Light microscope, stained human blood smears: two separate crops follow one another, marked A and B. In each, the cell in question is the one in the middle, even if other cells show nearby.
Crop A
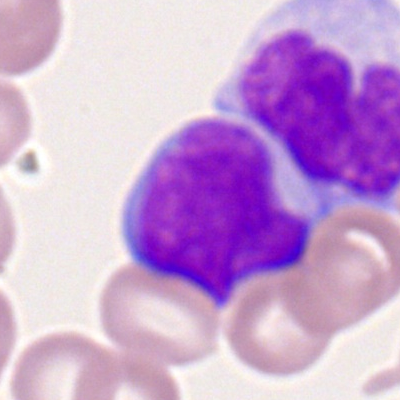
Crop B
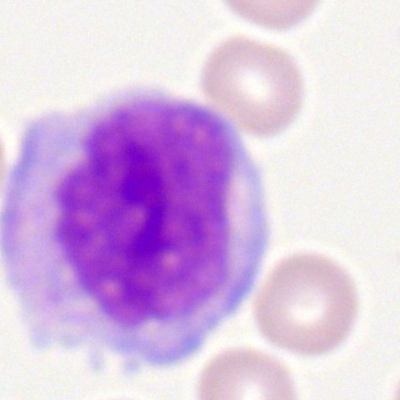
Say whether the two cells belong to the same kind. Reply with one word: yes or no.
no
